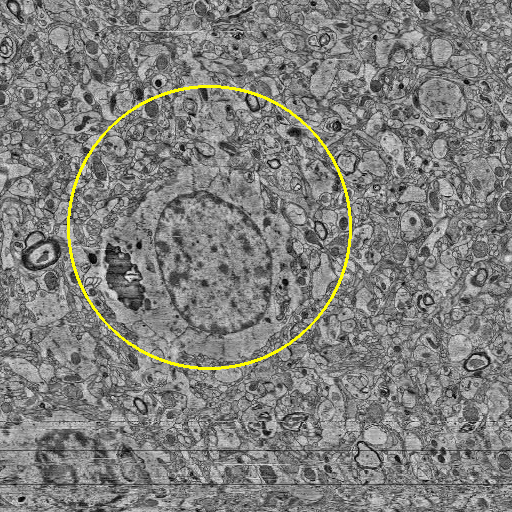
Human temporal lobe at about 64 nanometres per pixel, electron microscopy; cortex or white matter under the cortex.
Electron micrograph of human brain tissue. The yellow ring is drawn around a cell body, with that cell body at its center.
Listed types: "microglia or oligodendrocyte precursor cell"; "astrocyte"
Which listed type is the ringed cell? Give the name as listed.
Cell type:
astrocyte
